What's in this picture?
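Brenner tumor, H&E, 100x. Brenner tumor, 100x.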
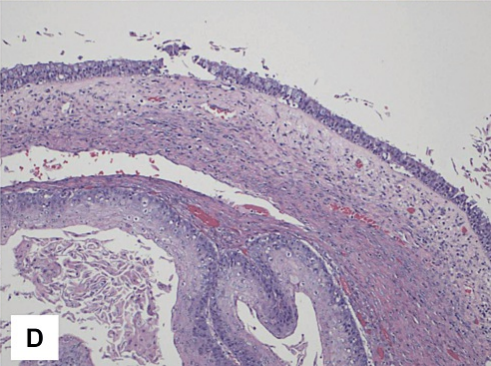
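Two epithelial linings: below, a stratified squamous epithelium with pink cytoplasm folded around a lumen; above, a tall columnar epithelium with goblet cells lining a space. Loose pink stroma with small vessels separates the two linings.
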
